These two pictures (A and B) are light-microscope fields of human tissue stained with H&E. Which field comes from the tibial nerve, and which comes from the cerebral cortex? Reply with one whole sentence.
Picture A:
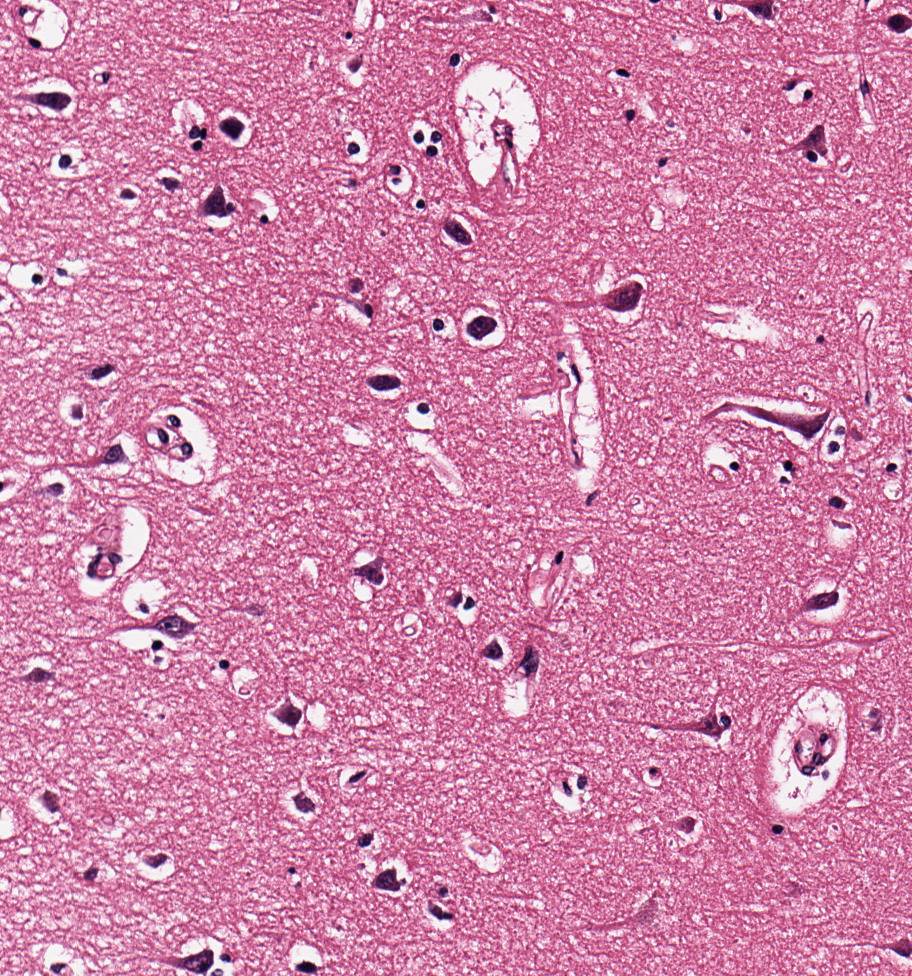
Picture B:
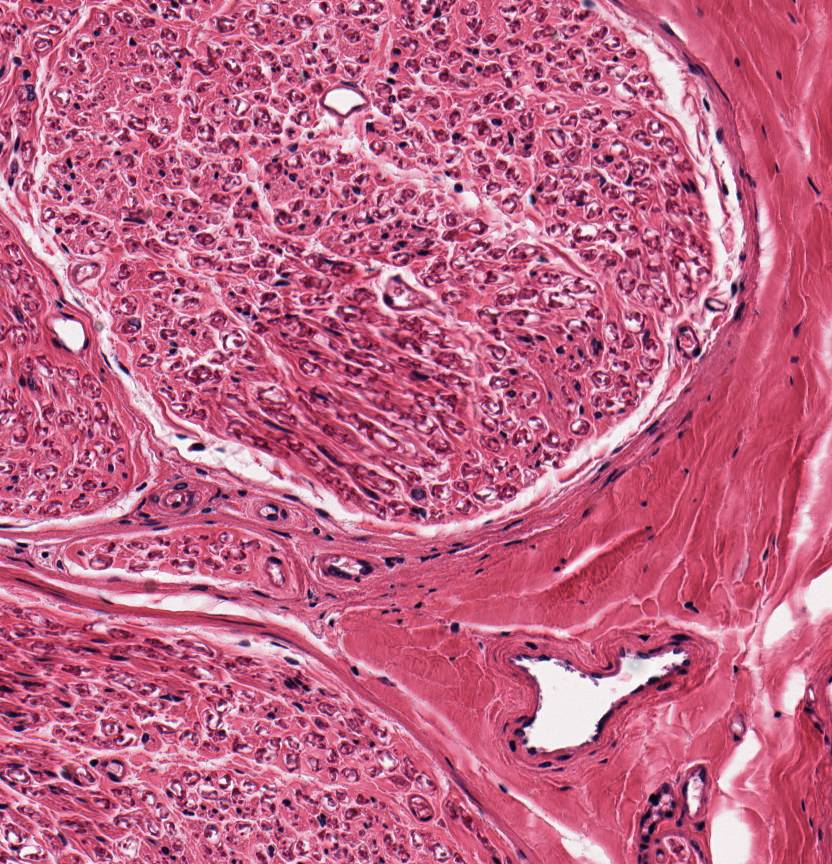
Picture B comes from the tibial nerve, while picture A comes from the cerebral cortex.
